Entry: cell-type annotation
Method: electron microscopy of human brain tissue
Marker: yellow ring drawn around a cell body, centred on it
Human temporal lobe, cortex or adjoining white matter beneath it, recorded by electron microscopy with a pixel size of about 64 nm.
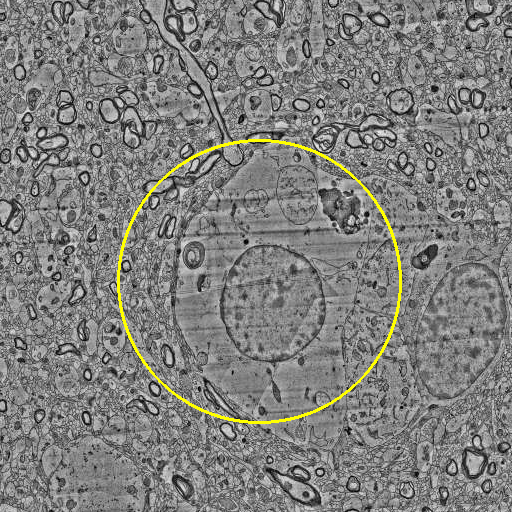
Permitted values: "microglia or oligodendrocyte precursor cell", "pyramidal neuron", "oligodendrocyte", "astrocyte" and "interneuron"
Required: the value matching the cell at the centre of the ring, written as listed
astrocyte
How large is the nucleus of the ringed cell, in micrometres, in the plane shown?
About 7 micrometres across, as seen in this plane.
